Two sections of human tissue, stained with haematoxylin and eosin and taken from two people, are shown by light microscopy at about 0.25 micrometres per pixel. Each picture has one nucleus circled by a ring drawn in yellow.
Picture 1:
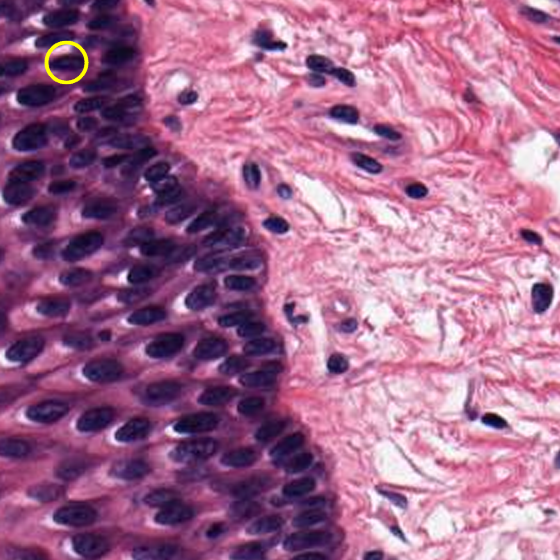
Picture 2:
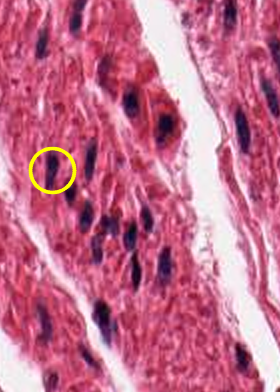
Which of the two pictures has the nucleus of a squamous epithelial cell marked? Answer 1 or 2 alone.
1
